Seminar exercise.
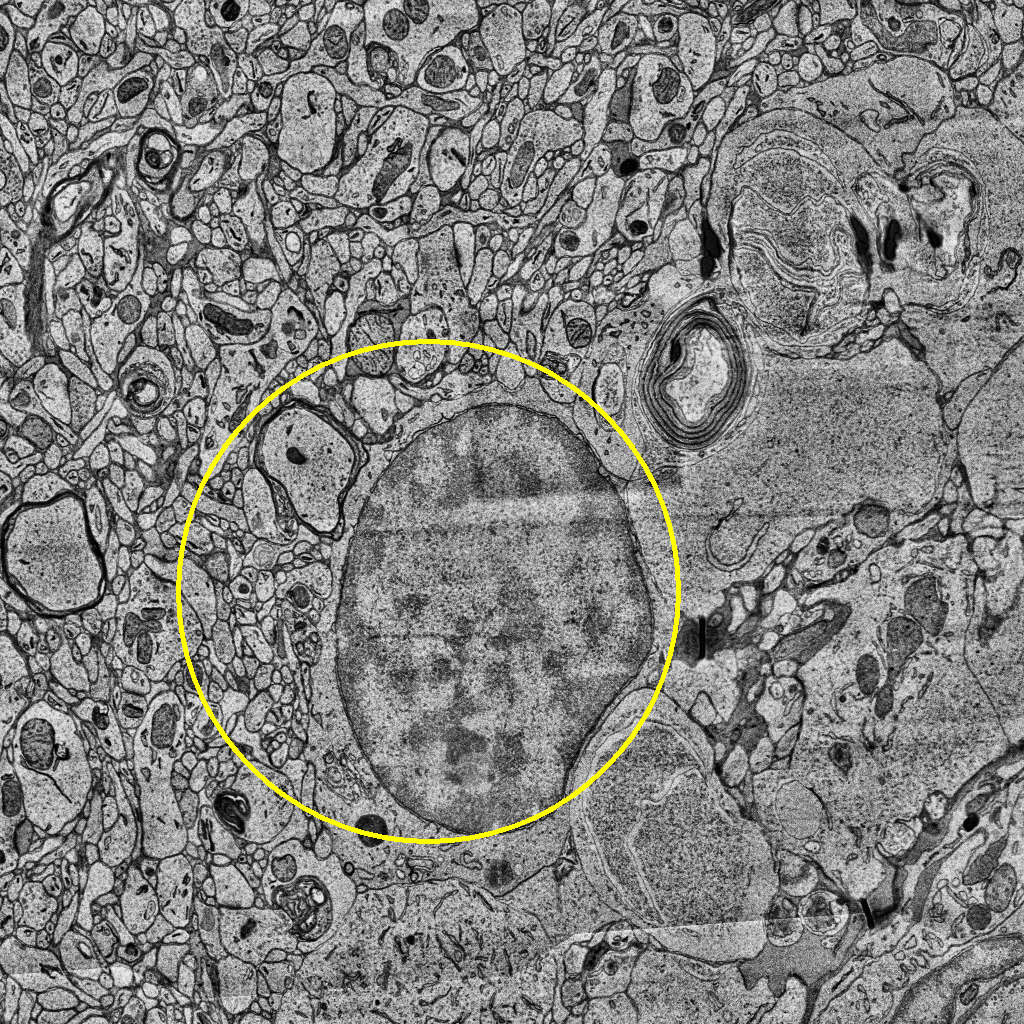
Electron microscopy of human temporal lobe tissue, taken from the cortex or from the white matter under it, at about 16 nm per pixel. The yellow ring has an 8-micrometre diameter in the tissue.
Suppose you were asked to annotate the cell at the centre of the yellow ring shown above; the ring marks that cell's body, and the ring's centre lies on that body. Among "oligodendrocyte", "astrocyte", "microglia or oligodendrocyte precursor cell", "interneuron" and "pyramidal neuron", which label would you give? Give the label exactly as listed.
oligodendrocyte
